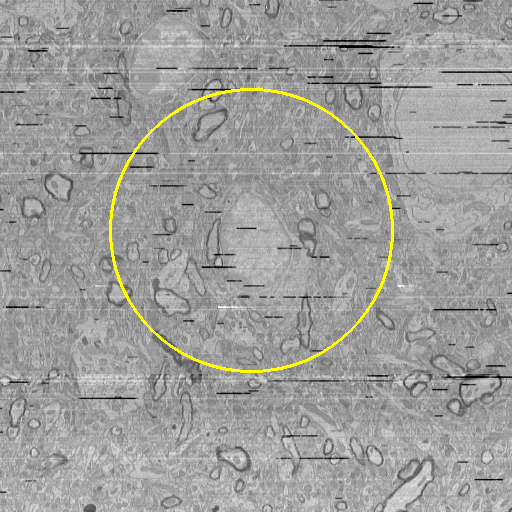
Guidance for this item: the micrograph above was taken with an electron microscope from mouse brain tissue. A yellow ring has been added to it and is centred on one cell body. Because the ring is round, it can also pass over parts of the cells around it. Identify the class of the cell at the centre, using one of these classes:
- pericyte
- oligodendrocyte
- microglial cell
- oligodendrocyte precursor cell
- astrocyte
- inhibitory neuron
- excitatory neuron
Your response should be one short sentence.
The ring surrounds the body of an oligodendrocyte.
